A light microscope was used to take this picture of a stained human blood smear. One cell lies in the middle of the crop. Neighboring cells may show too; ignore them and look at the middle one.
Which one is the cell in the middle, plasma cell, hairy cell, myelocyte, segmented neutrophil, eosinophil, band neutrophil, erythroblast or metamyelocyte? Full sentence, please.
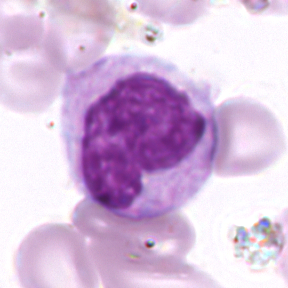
For this crop, the central cell is a band neutrophil.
